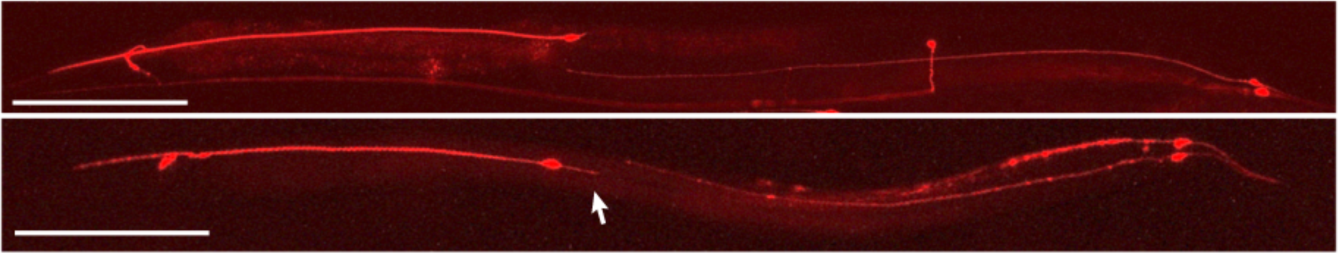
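Two whole worms, with a few neurons labelled in red. Each neuron has a small rounded cell body and long, thin, faintly beaded neurites that run lengthwise along the body; in the upper worm one neurite turns sharply and runs across the body. In the lower worm a short neurite extends from one cell body in the direction opposite to the long neurite (white arrow).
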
